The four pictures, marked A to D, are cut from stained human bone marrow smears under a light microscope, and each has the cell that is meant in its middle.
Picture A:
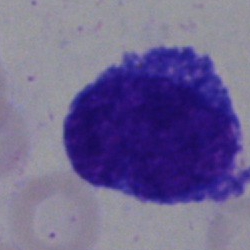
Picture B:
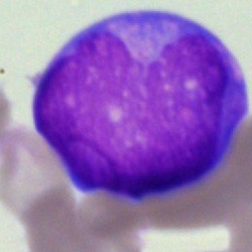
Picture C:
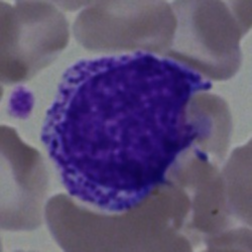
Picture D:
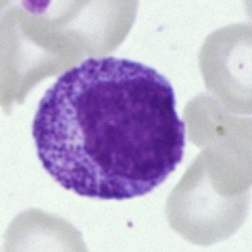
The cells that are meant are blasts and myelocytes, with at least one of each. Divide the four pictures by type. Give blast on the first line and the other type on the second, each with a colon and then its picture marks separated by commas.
blast: A, B
myelocyte: C, D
